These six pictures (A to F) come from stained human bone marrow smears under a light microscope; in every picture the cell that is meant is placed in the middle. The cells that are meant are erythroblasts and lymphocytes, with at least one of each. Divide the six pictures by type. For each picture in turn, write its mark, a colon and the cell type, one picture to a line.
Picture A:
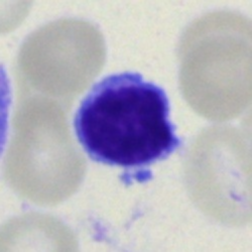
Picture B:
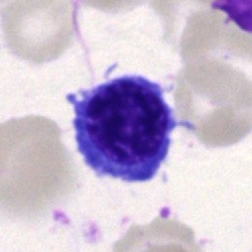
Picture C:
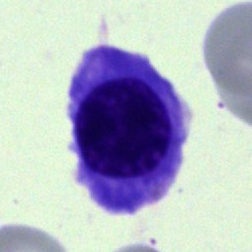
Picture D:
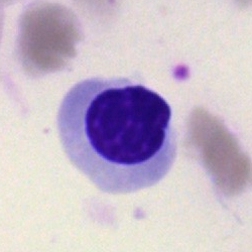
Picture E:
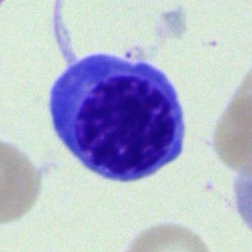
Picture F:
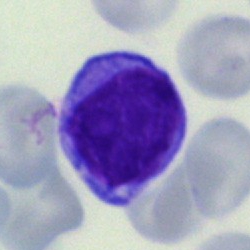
A: lymphocyte
B: erythroblast
C: erythroblast
D: erythroblast
E: erythroblast
F: lymphocyte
